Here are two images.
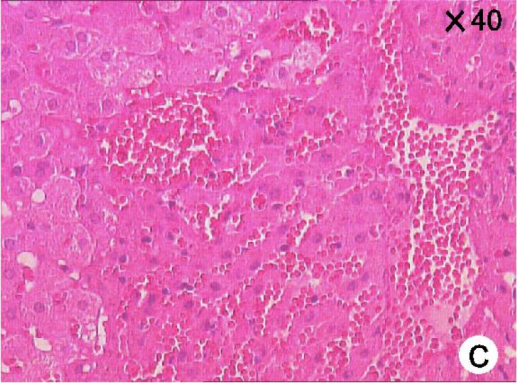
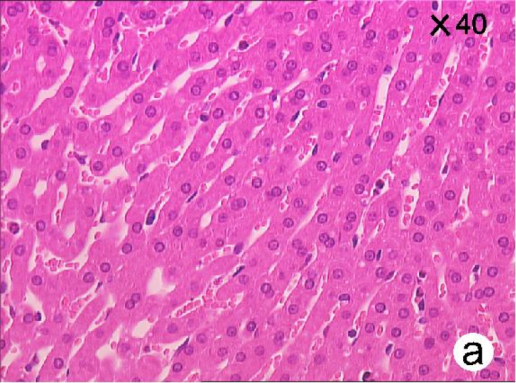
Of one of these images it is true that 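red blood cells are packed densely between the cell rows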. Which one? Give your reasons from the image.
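First image: dense crowds of red cells fill wide patches between the cells.
Hence: the first image.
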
